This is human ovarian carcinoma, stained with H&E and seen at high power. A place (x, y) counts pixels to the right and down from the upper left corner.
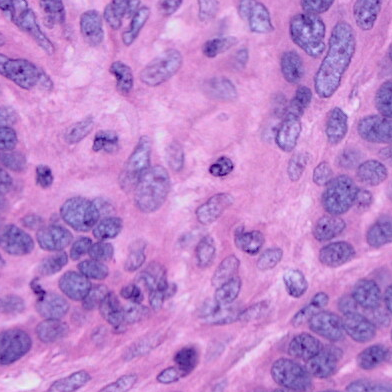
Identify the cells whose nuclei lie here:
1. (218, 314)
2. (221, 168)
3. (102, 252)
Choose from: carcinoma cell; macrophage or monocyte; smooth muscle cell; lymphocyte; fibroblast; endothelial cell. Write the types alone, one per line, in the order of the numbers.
fibroblast
lymphocyte
carcinoma cell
